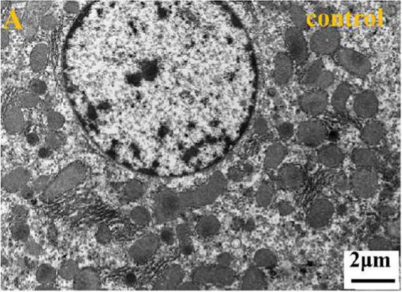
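Transmission electron micrograph of a hepatocyte with a large round nucleus bounded by a distinct nuclear envelope, holding finely dispersed chromatin with scattered dark clumps. The surrounding cytoplasm is densely packed with numerous round to oval mitochondria of moderate electron density, with short stacks of rough endoplasmic reticulum lying between them.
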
